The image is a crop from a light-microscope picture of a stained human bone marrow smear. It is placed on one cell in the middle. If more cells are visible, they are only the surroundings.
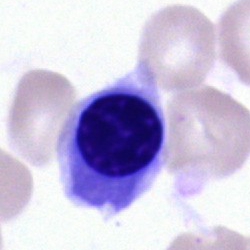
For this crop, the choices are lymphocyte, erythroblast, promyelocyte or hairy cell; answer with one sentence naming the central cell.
The cell centered in this field of view is an erythroblast.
